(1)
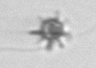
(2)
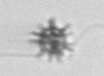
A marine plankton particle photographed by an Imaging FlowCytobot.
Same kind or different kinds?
Same: Rhabdosphaera.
